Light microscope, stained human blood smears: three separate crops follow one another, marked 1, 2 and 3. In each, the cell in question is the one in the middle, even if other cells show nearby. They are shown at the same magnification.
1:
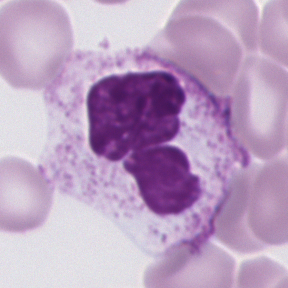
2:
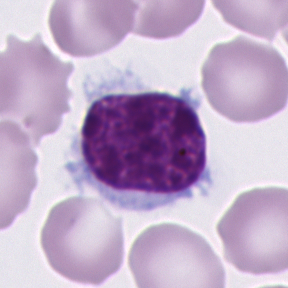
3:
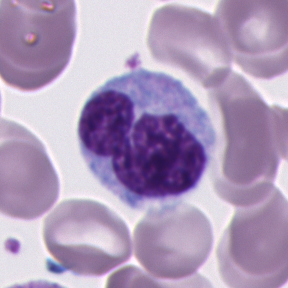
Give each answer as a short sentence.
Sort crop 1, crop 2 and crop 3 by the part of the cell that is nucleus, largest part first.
From the most filled to the least, the order is 2, 3, 1.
